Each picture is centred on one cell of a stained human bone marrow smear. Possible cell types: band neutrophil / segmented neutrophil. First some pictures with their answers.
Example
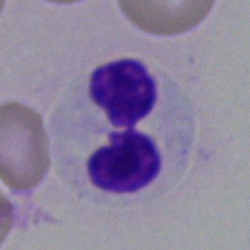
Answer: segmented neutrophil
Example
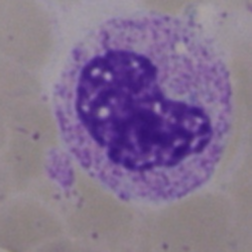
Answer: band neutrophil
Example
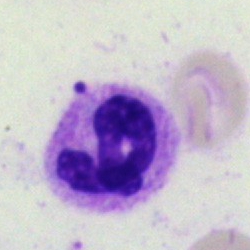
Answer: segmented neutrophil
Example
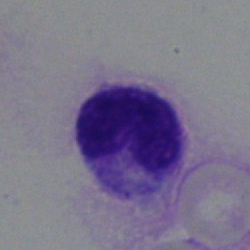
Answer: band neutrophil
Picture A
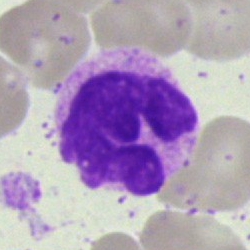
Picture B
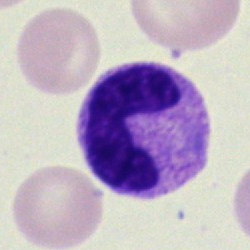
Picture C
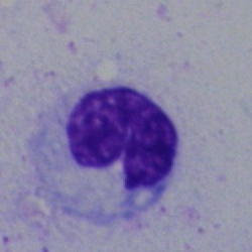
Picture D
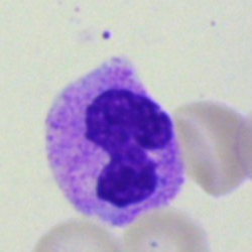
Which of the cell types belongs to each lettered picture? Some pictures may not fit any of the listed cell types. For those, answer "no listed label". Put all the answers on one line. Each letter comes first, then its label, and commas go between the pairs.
A segmented neutrophil, B band neutrophil, C band neutrophil, D segmented neutrophil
